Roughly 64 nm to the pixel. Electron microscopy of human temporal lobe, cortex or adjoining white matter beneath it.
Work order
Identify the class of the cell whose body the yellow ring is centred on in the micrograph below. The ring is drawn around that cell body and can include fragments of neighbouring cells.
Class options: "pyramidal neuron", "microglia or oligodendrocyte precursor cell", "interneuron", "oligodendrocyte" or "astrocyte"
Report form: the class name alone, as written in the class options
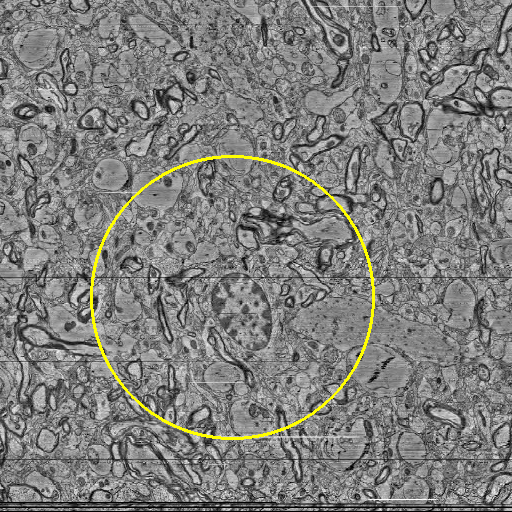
microglia or oligodendrocyte precursor cell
